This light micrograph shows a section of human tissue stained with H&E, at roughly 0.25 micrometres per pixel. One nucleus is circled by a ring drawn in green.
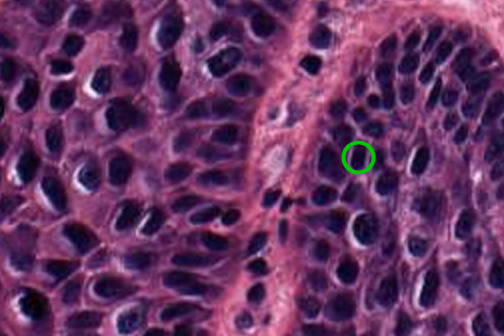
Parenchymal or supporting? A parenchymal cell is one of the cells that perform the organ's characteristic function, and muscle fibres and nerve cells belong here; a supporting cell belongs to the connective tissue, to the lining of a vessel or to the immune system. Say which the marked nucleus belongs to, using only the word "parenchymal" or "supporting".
parenchymal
